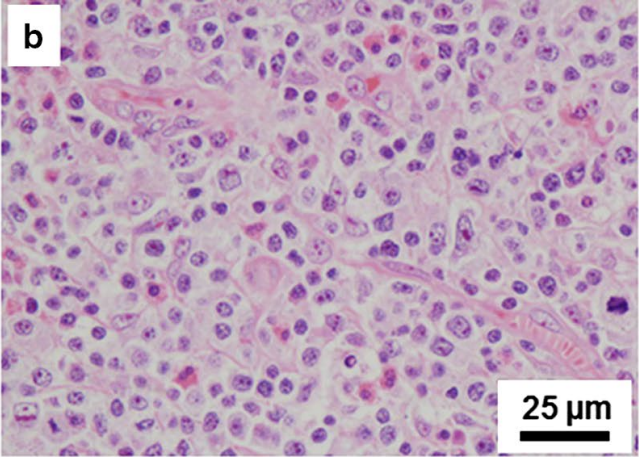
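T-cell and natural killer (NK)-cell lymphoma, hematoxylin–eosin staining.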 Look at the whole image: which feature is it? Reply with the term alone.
High endothelial venules.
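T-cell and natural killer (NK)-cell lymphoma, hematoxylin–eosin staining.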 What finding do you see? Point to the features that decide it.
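Many cells have a rim of pale, almost unstained cytoplasm around a round nucleus. Cell borders are visible as thin lines around clear cytoplasm.
Clear-to-pale cytoplasm.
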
